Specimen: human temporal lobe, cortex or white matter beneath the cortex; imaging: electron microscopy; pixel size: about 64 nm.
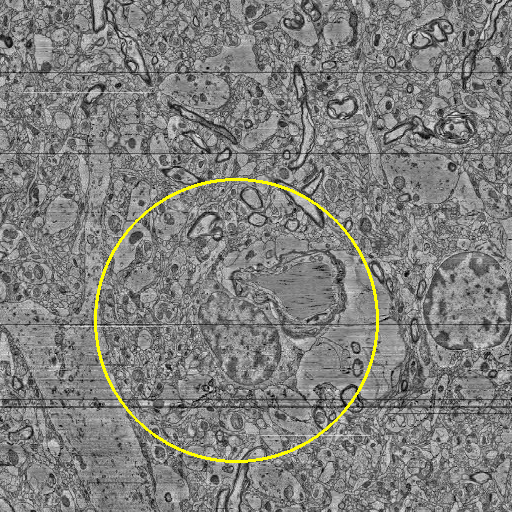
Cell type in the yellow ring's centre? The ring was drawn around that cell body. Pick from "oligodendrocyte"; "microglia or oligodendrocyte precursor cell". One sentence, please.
The ringed cell body is that of an oligodendrocyte.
